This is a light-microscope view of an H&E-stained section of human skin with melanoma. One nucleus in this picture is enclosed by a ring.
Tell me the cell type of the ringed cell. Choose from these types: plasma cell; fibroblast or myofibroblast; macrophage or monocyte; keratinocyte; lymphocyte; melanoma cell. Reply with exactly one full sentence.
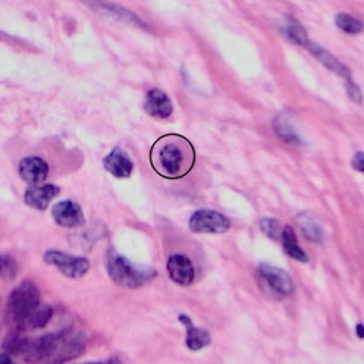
Considered by cell type, the ringed cell is a plasma cell.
